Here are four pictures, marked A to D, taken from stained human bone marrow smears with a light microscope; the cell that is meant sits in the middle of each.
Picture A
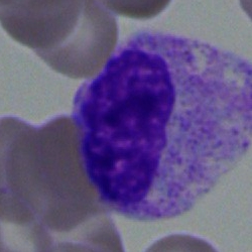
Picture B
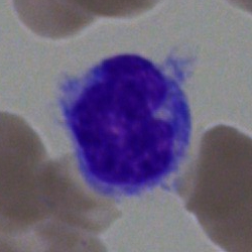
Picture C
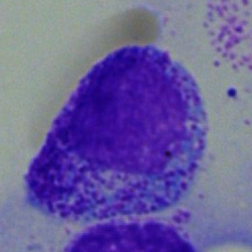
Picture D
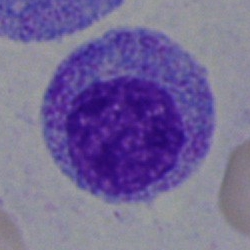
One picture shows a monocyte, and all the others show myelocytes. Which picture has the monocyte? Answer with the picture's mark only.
B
